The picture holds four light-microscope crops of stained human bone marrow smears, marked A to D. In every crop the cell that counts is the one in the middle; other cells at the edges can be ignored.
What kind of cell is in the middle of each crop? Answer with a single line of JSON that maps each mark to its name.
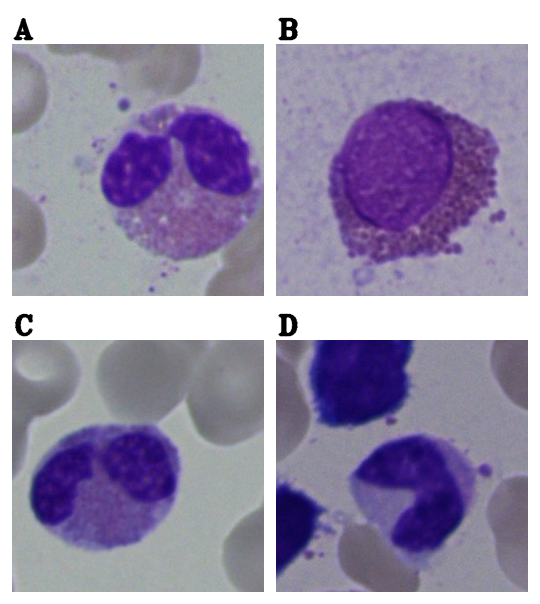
{"A": "eosinophil", "B": "eosinophil", "C": "eosinophil", "D": "band neutrophil"}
